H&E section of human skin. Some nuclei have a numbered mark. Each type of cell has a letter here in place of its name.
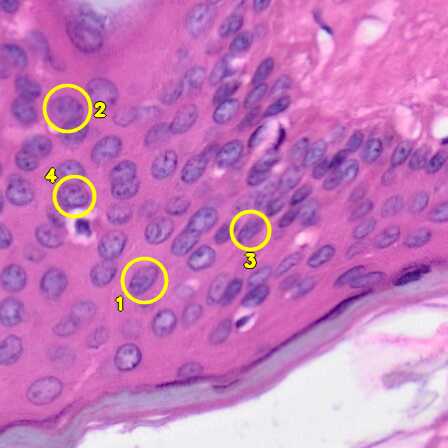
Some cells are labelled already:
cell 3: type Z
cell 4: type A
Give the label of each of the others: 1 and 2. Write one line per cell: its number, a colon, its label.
1: type A
2: type A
